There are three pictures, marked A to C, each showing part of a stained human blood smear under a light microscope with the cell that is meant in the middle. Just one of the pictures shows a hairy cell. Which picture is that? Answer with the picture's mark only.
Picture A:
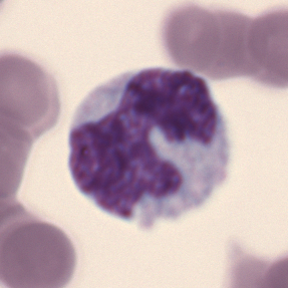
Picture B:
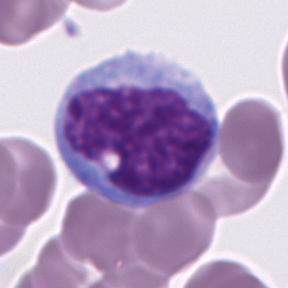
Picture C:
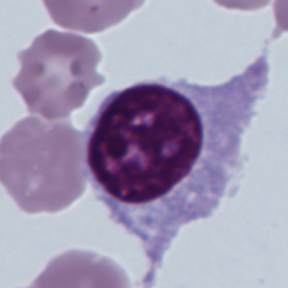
C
